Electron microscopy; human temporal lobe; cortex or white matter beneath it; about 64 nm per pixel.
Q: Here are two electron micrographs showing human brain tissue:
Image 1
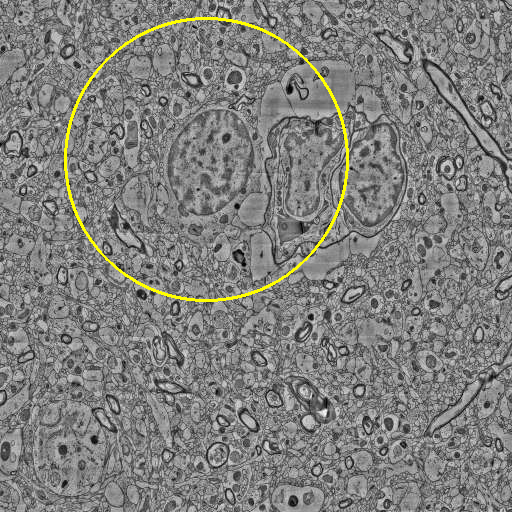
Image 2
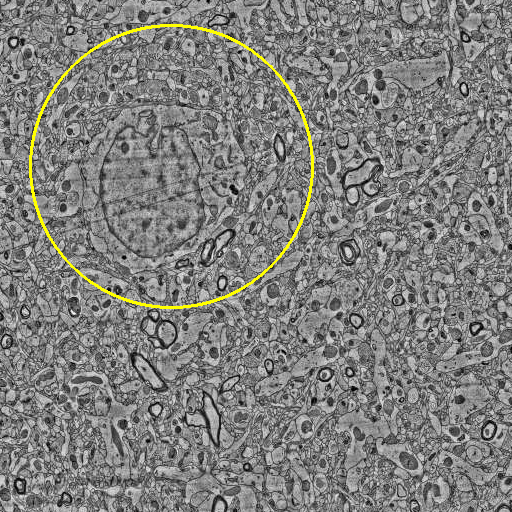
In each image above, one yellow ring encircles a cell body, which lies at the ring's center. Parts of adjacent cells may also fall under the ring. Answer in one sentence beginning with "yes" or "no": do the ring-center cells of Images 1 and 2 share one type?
No, in Images 1 and 2, the ring-center cells are of two types.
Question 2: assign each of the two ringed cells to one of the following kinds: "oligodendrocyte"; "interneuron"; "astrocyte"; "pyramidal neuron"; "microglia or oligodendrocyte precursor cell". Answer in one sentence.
The two cells are an oligodendrocyte in the first picture and an interneuron in the second.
